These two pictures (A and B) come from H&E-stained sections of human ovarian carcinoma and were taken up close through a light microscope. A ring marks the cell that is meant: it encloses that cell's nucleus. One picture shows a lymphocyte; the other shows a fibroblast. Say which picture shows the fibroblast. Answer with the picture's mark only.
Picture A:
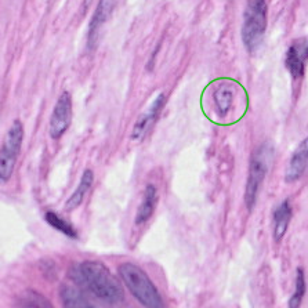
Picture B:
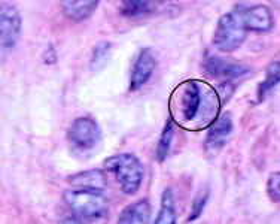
A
